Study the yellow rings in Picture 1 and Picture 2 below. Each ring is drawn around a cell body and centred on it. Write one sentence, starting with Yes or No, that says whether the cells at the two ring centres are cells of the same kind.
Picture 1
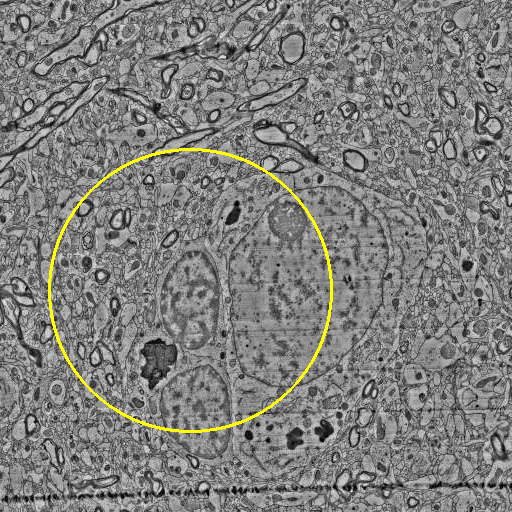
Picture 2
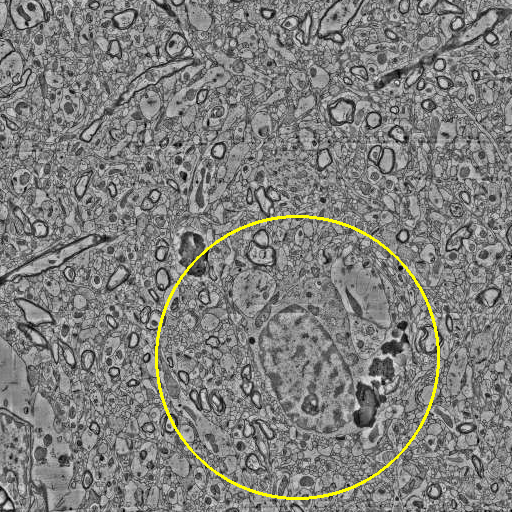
Yes, the cells at both ring centres are of the same kind.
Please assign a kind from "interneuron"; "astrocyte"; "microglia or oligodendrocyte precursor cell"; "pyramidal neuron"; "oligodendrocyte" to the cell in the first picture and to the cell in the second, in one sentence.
The cell at the ring centre is an oligodendrocyte in both pictures.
